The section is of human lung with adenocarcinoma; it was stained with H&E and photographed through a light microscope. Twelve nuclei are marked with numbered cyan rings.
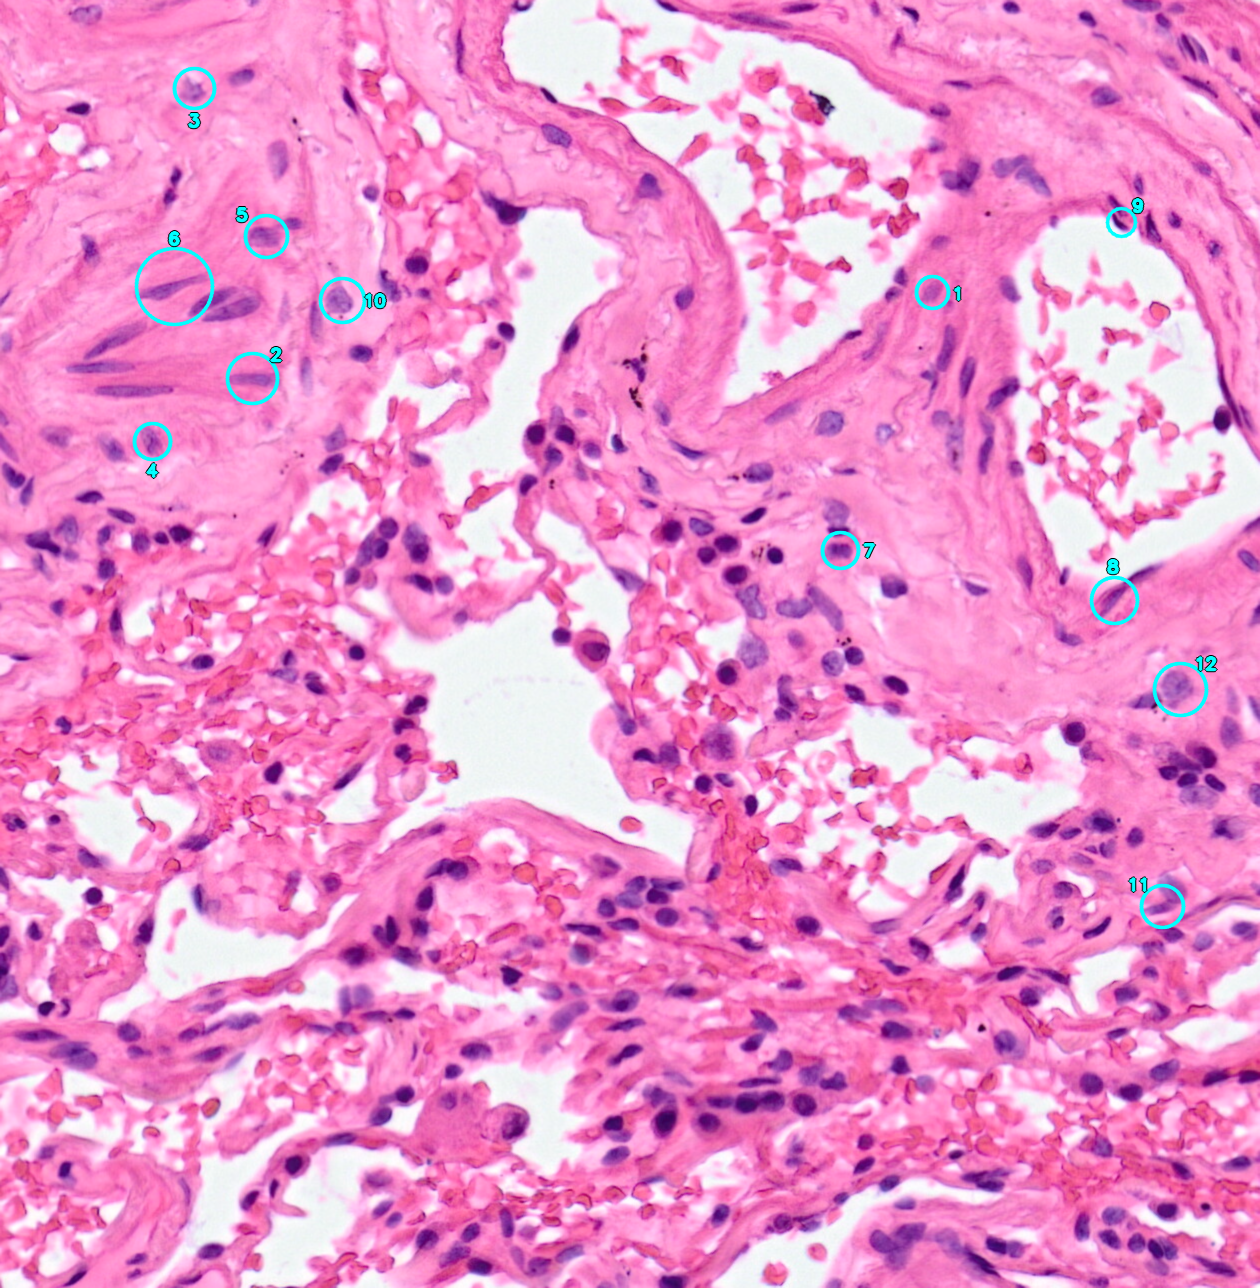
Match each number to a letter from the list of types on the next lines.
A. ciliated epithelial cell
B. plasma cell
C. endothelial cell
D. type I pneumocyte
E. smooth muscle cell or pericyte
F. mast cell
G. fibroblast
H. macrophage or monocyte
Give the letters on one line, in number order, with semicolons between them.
E; E; G; E; E; E; F; E; C; G; C; G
